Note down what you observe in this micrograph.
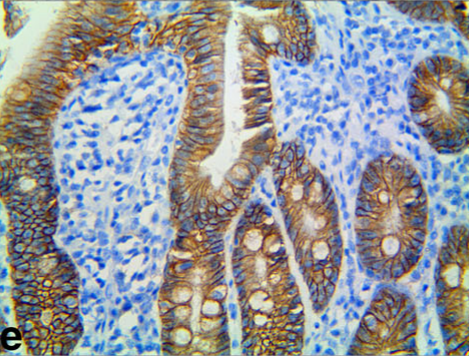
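This is normal colonic mucosa with crypts cut both along and across, lined by tall columnar epithelial cells and goblet cells. Brown stain sharply outlines the borders of the epithelial cells, giving each gland a honeycomb-like outline, while the nuclei stay blue and sit toward the base of the cells. Goblet cells appear as rounded pale vacuoles within the lining, and the glandular lumens are open. The loose lamina propria between the crypts holds scattered blue nuclei and is unstained.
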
